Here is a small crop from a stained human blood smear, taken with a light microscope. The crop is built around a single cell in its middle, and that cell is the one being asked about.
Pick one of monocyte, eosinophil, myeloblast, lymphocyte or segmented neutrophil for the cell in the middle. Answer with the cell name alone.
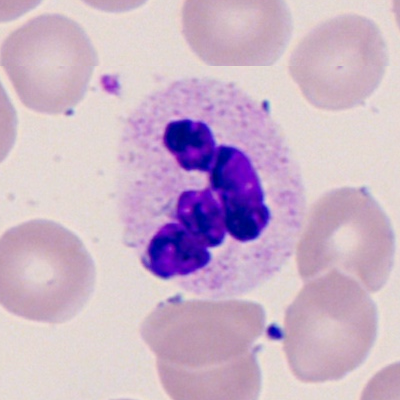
segmented neutrophil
